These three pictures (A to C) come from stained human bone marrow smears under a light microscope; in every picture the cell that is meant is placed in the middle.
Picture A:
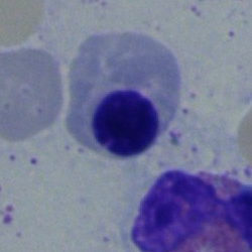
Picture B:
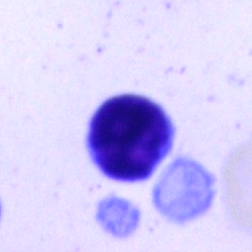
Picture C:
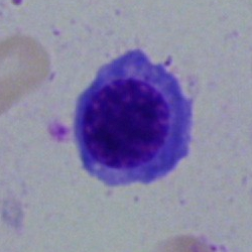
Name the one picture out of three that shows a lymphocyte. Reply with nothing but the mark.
B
